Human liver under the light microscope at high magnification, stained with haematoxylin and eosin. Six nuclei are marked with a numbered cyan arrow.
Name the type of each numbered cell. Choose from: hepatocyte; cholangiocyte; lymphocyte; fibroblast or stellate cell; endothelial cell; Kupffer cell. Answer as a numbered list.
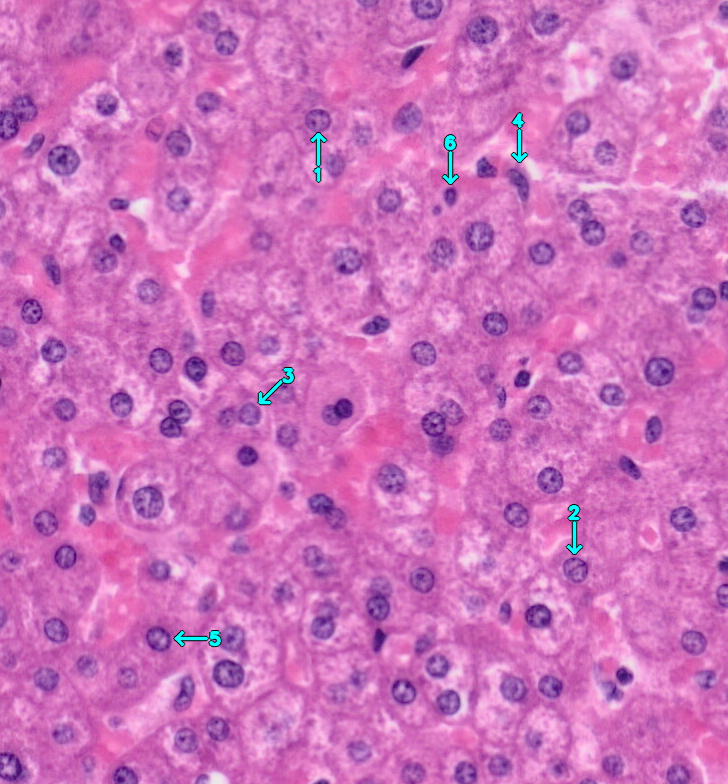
1. hepatocyte
2. hepatocyte
3. hepatocyte
4. Kupffer cell
5. hepatocyte
6. lymphocyte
